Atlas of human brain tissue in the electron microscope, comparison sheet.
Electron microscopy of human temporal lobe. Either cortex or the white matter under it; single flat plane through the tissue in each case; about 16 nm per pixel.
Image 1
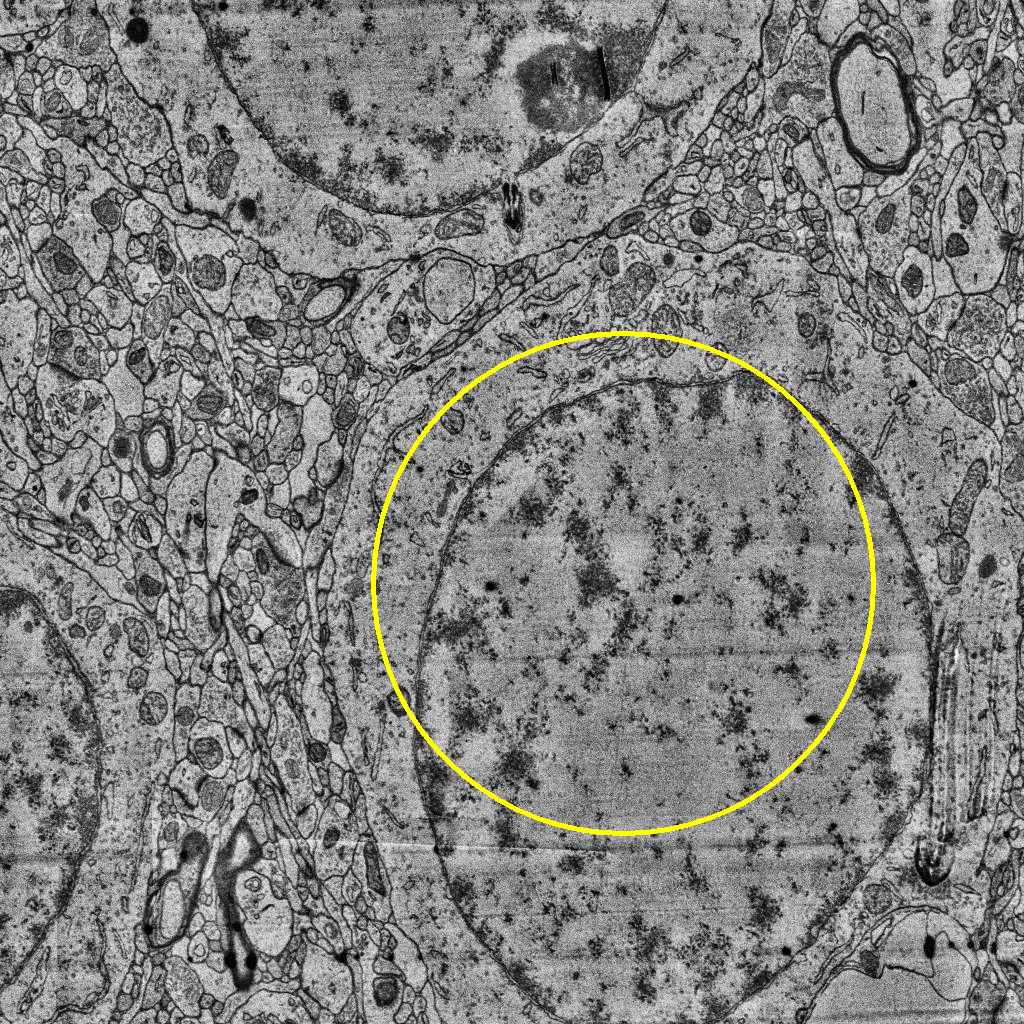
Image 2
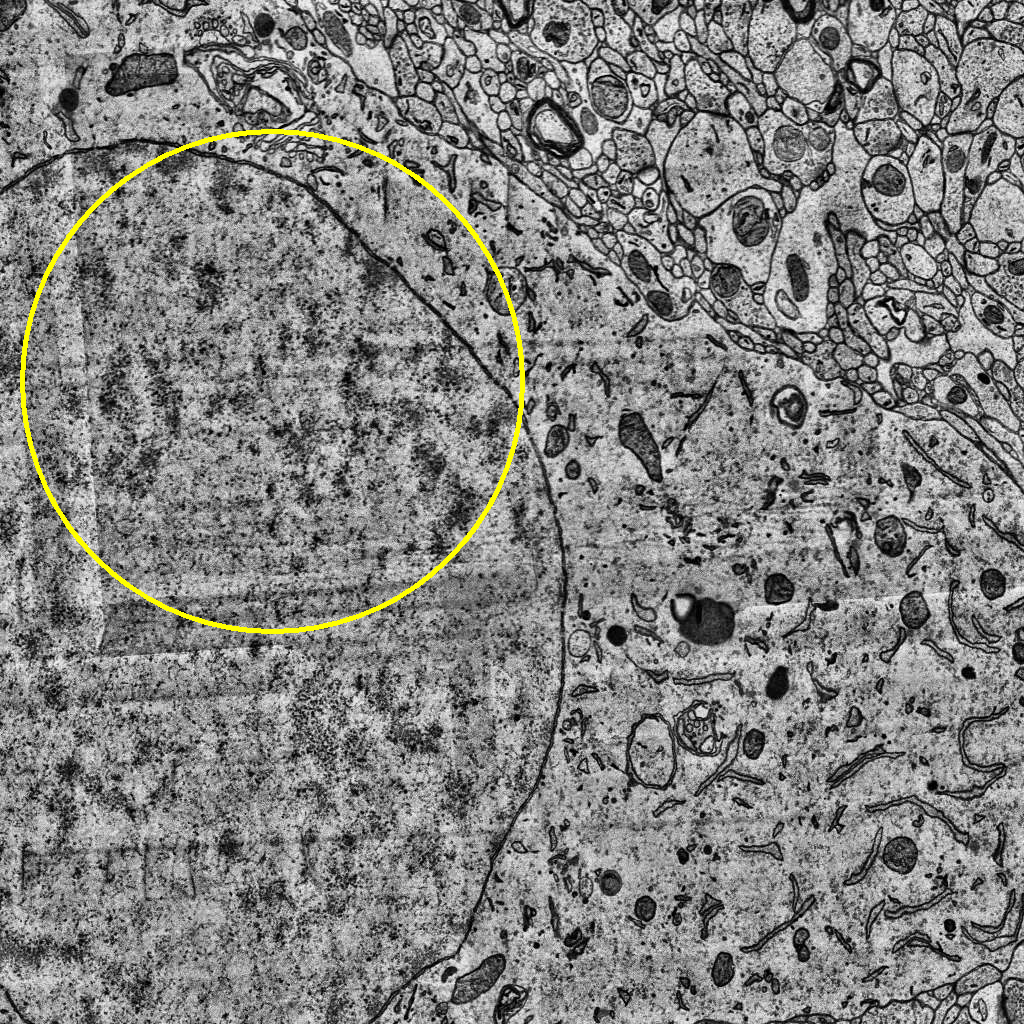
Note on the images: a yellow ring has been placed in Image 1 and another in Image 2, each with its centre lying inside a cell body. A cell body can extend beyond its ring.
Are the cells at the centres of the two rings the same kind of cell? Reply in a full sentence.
Yes, both cells are of the same kind.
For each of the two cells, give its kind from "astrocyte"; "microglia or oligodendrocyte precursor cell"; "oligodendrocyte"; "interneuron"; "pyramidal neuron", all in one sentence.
Both cells are the same kind, each one being a pyramidal neuron.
